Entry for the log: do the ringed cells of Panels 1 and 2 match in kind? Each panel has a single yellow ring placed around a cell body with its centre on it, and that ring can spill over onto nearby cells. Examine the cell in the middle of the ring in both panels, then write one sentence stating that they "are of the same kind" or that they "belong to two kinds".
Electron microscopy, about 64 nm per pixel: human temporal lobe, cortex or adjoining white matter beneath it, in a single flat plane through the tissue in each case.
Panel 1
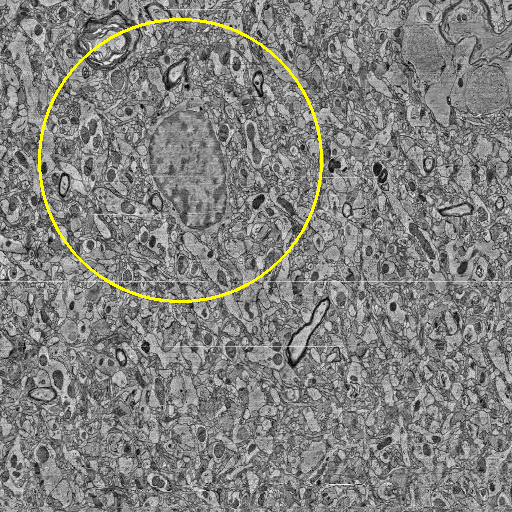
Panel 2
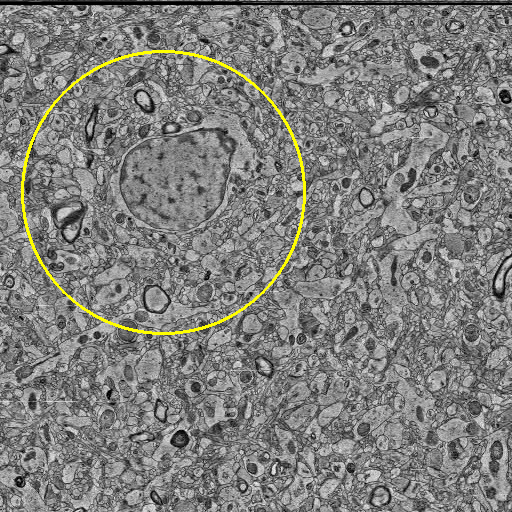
The centre cell of Panel 1's ring and that of Panel 2's ring belong to two kinds.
